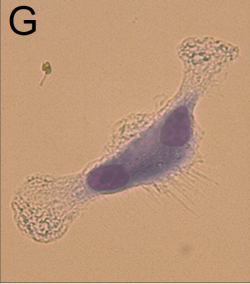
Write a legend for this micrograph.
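Two oval purple nuclei lie in the central, more densely stained part. At both ends the cytoplasm widens into pale, spread lobes filled with fine granules and small vesicles. Thin hair-like projections extend from the edges of the central part. The borders of the spread ends are irregular.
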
